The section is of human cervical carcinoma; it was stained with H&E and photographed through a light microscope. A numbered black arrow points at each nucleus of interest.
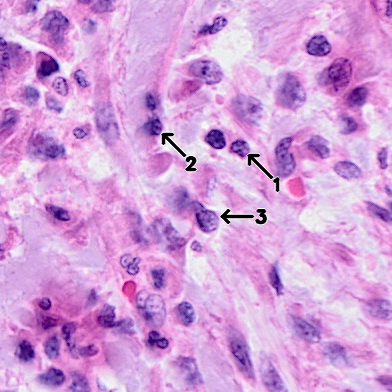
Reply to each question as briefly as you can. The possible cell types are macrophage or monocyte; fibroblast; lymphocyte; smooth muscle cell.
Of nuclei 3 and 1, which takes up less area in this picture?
1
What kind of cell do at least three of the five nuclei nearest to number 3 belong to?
fibroblast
